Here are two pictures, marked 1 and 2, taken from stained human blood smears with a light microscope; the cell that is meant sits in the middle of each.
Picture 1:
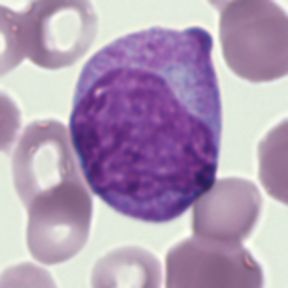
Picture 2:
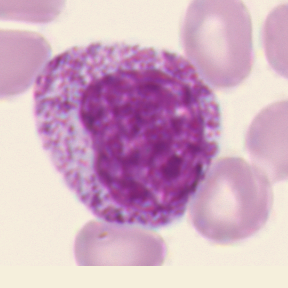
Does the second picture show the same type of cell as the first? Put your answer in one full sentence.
No; the cell in picture 1 is an atypical promyelocyte, while the one in picture 2 is a myelocyte.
